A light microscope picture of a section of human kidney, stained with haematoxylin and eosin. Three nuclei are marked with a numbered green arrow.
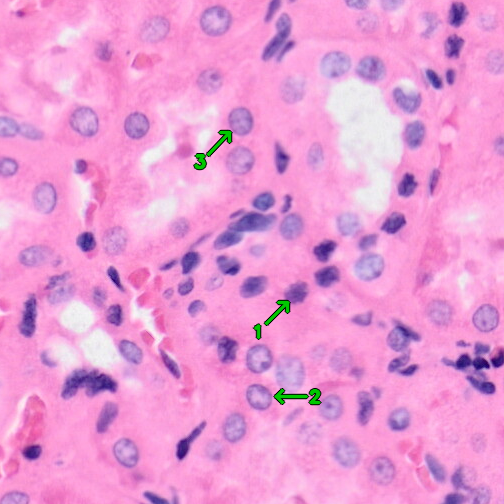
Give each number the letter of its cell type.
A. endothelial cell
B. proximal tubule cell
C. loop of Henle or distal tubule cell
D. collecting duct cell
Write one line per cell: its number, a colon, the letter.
1: C
2: B
3: B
